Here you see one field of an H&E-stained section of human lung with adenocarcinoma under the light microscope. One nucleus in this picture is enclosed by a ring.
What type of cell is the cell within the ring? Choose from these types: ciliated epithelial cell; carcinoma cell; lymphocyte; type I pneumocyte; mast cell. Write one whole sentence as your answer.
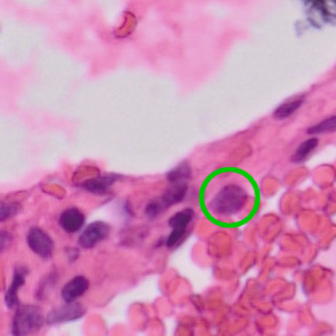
As far as its identity is concerned, the cell within the ring is a type I pneumocyte.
